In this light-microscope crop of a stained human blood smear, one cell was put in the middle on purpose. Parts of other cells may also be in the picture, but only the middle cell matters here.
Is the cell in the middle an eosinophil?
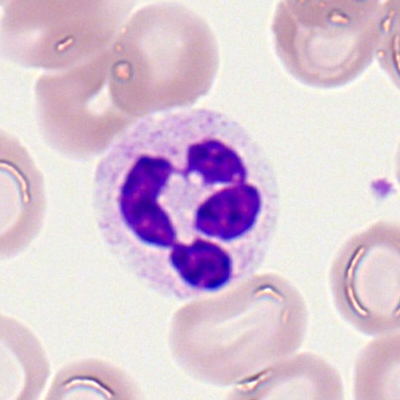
no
